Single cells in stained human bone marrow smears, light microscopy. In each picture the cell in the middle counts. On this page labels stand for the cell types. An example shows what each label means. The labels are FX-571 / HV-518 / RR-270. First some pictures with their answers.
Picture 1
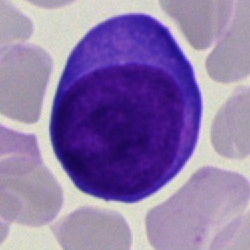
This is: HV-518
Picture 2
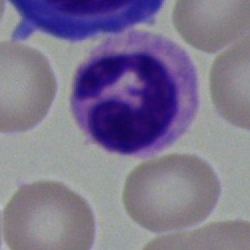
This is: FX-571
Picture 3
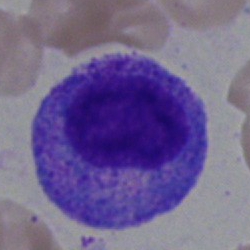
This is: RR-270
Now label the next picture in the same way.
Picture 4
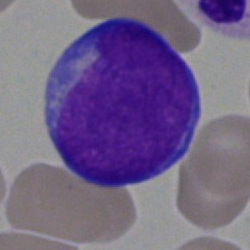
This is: HV-518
